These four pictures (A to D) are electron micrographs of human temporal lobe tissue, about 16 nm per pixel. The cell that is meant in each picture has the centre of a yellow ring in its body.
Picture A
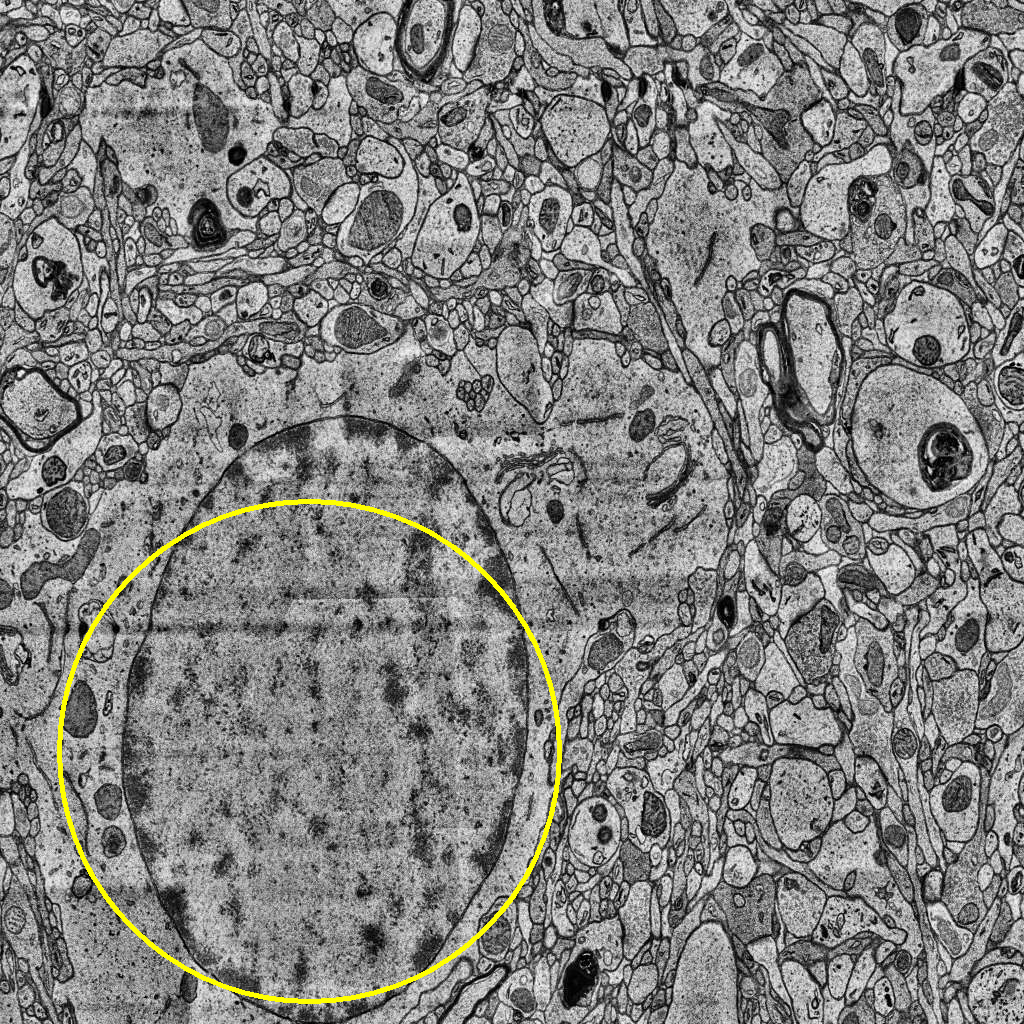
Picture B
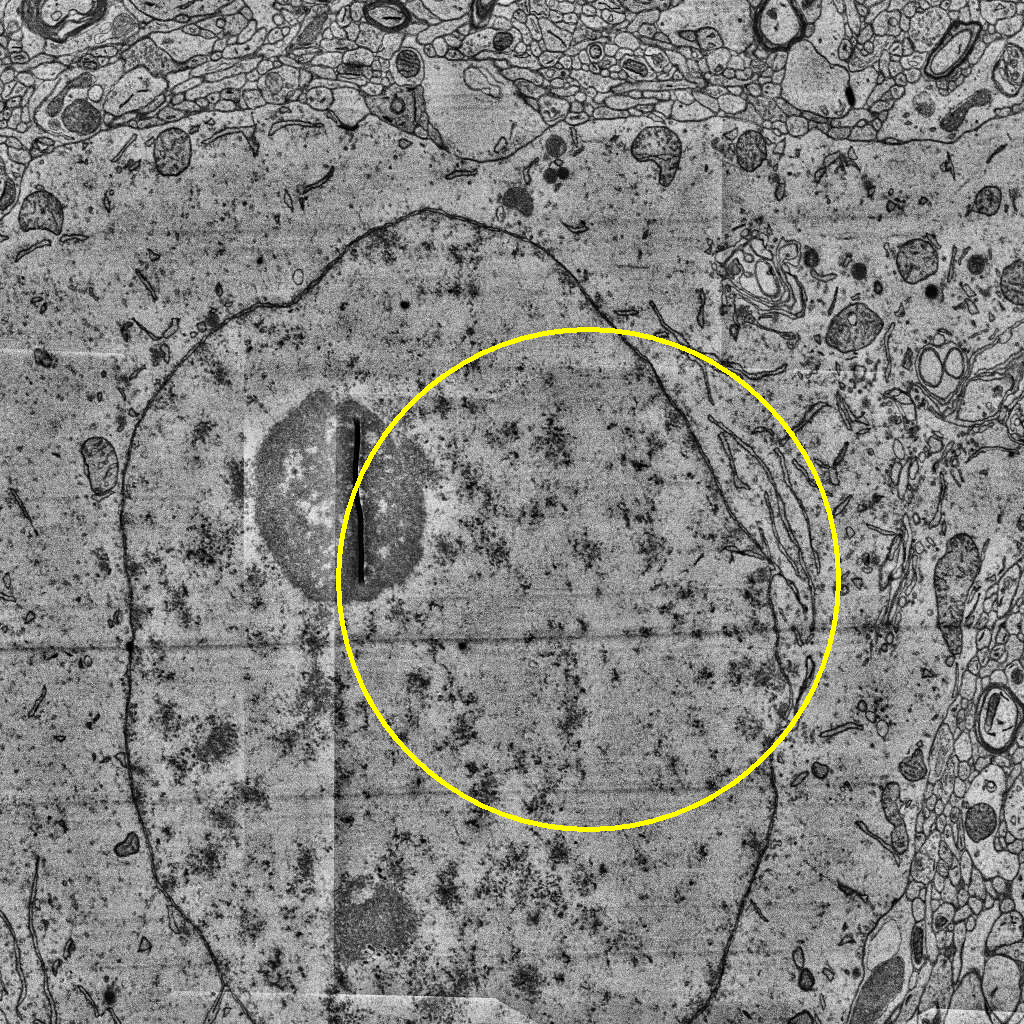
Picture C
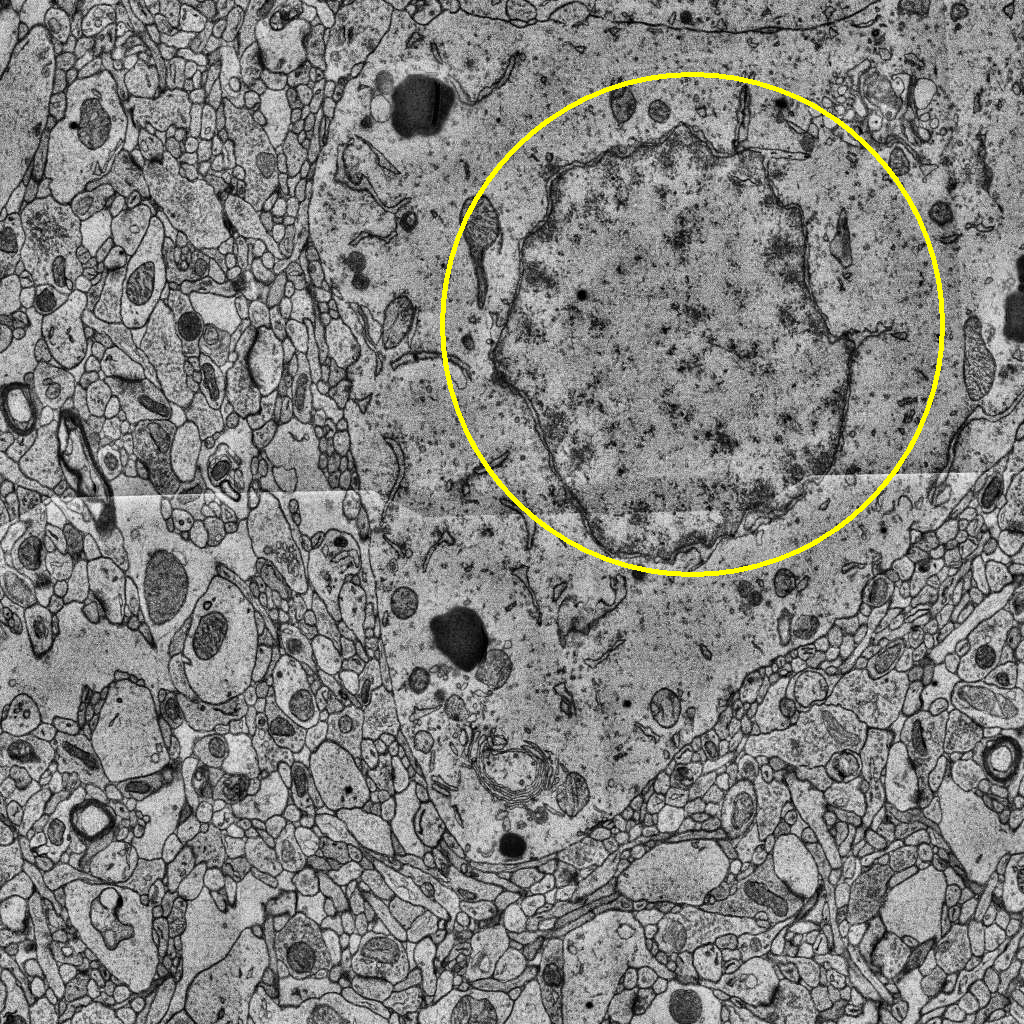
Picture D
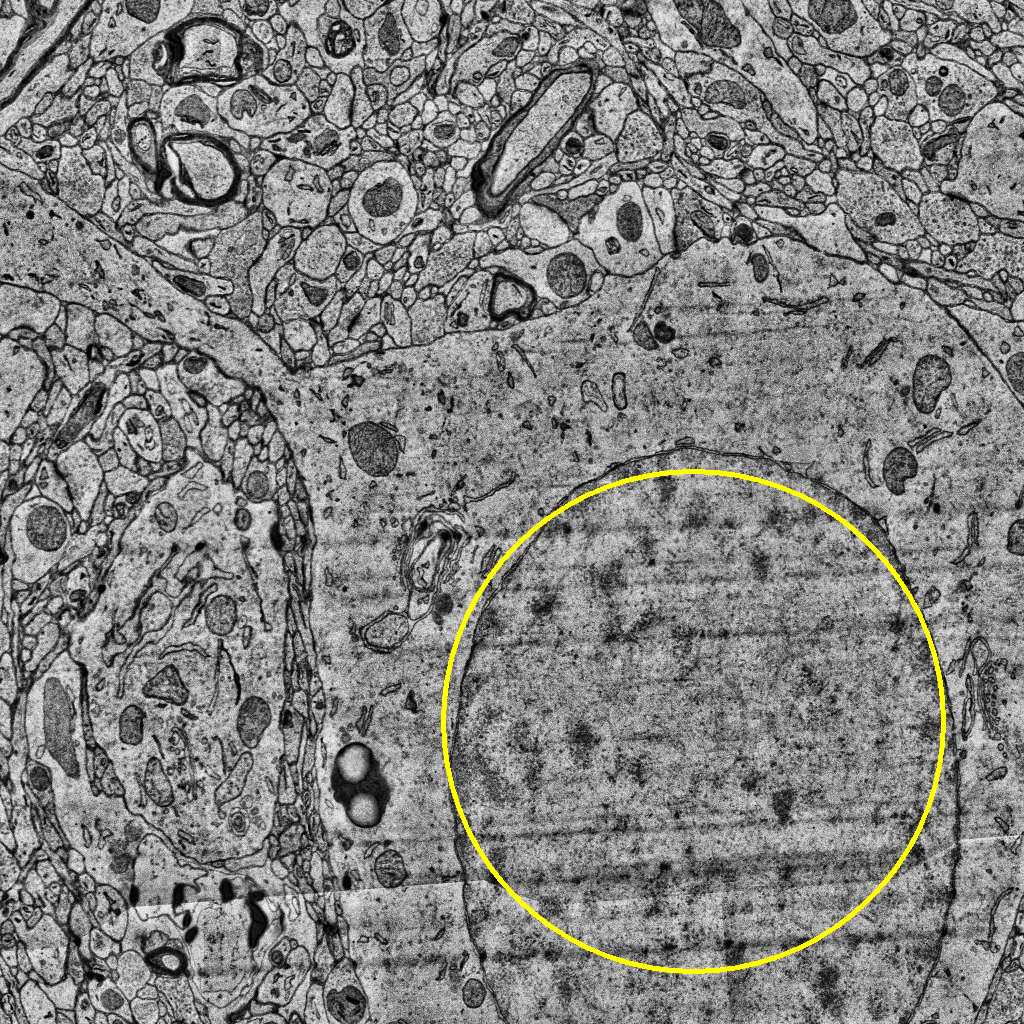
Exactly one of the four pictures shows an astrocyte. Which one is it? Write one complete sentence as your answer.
It is picture A that shows the astrocyte.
